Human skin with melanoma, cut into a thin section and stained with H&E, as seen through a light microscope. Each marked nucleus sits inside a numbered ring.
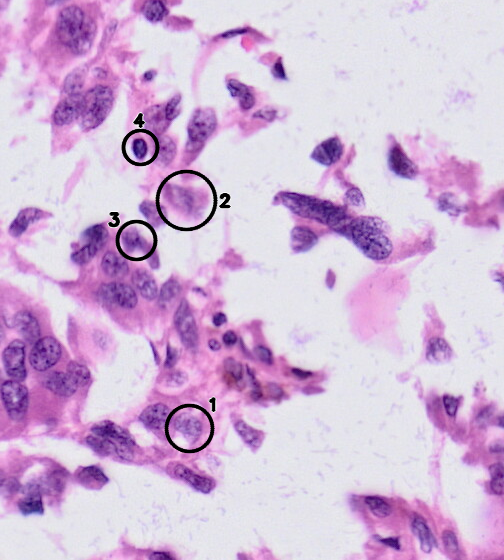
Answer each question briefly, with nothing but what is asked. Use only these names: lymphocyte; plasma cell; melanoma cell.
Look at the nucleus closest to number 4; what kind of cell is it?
melanoma cell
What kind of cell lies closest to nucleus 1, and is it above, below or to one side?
a melanoma cell, to the left of nucleus 1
